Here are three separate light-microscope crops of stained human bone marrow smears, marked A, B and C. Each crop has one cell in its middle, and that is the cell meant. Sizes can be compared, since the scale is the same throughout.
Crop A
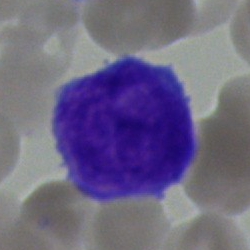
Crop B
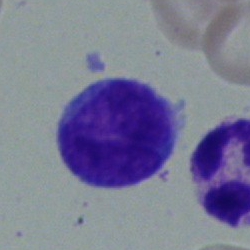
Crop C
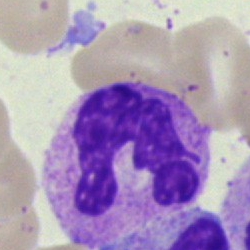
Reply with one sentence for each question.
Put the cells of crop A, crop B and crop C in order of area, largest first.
Largest first: C, A, B.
